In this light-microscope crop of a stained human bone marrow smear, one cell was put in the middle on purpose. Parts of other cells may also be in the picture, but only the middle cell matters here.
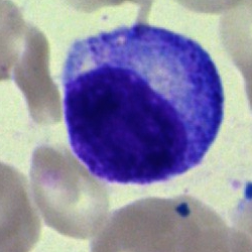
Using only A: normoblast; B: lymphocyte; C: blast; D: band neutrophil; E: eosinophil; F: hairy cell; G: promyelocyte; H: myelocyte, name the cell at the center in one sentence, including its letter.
Occupying the middle of the crop is a promyelocyte, hence option G is correct.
